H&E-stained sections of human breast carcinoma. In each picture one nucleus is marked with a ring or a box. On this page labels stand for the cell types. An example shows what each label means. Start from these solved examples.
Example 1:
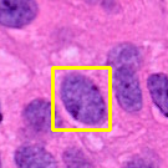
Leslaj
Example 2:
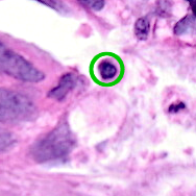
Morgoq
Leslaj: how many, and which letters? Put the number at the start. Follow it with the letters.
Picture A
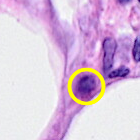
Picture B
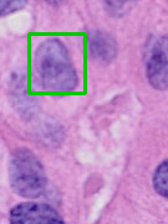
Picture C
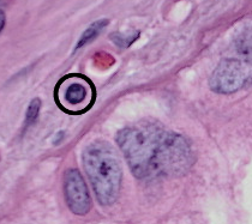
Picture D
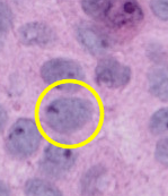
2: B, D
